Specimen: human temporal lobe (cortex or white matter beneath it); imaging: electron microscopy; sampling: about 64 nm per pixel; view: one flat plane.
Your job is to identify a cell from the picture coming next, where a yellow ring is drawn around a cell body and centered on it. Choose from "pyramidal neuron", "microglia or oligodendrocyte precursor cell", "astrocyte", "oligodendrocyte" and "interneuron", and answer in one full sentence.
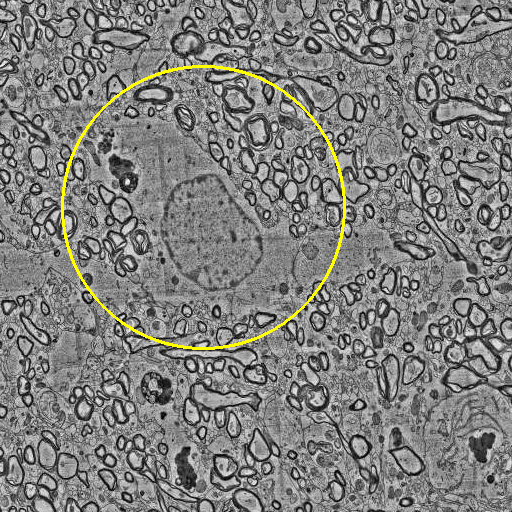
Centered in the yellow ring of the picture is the body of an astrocyte.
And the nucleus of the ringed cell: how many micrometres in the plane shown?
About 7 by 6 micrometres in this plane.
